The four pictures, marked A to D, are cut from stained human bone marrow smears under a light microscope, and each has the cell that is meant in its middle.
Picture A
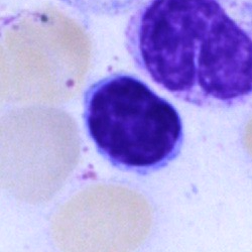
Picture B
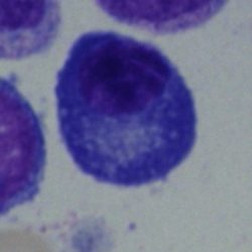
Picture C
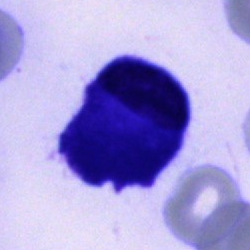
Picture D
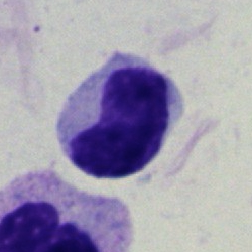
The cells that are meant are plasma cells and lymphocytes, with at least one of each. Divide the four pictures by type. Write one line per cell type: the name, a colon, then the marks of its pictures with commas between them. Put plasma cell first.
plasma cell: B, C
lymphocyte: A, D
